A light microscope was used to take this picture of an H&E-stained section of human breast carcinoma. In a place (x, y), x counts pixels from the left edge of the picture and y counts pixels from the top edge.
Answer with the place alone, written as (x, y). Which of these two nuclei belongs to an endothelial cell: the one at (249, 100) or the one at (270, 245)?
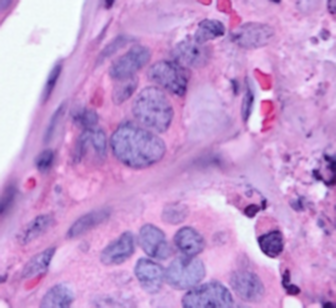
(249, 100)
